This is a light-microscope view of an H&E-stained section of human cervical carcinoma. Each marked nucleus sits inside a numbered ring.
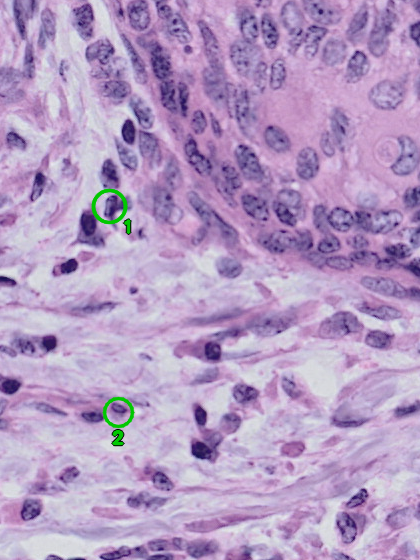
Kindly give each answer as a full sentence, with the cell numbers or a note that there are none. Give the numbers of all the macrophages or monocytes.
Response: cell 2 is a macrophage or monocyte, and no other numbered cell is.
